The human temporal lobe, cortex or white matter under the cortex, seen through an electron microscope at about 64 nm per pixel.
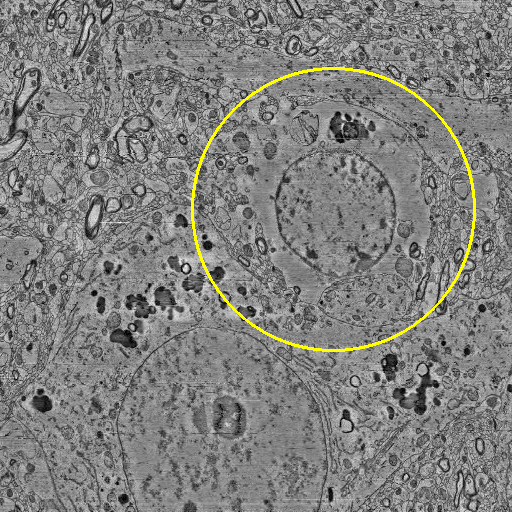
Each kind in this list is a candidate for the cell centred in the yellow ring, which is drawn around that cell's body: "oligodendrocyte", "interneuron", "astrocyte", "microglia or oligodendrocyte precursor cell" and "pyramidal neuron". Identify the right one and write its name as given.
astrocyte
